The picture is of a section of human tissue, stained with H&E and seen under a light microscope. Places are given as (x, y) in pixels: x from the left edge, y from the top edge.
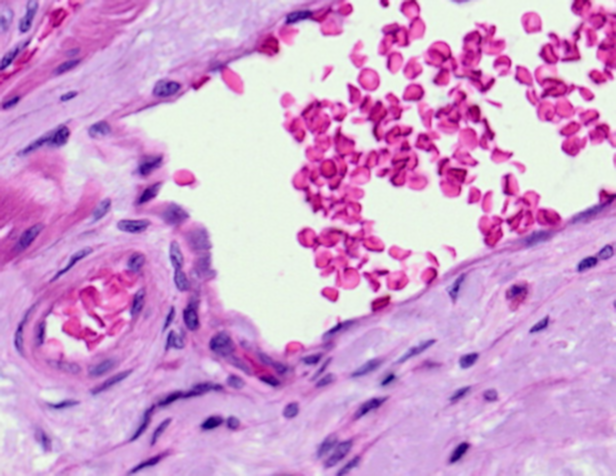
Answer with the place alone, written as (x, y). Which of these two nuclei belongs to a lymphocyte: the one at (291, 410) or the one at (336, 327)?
(291, 410)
